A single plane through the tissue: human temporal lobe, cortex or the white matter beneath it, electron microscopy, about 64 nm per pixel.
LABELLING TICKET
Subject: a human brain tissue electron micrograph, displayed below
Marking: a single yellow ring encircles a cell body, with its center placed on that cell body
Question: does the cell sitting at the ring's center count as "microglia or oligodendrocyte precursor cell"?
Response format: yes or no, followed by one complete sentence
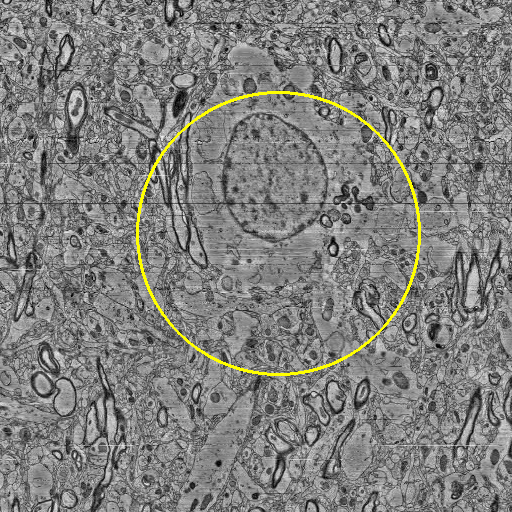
No, the cell at the center of the ring in the picture belongs to another kind.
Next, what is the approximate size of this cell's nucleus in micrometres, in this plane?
Roughly 9 by 7 micrometres in this plane, for the nucleus of the ringed cell.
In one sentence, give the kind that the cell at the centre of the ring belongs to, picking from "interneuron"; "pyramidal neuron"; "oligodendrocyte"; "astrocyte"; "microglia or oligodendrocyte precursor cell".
At the centre of the ring sits an astrocyte.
